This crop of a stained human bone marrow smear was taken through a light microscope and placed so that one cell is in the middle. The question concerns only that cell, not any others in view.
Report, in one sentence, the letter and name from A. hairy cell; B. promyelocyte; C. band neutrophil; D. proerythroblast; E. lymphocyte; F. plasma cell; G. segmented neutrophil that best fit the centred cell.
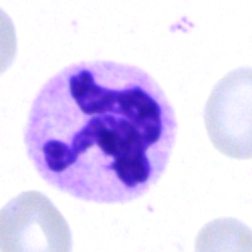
Option G is correct; the cell in the middle is a segmented neutrophil.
